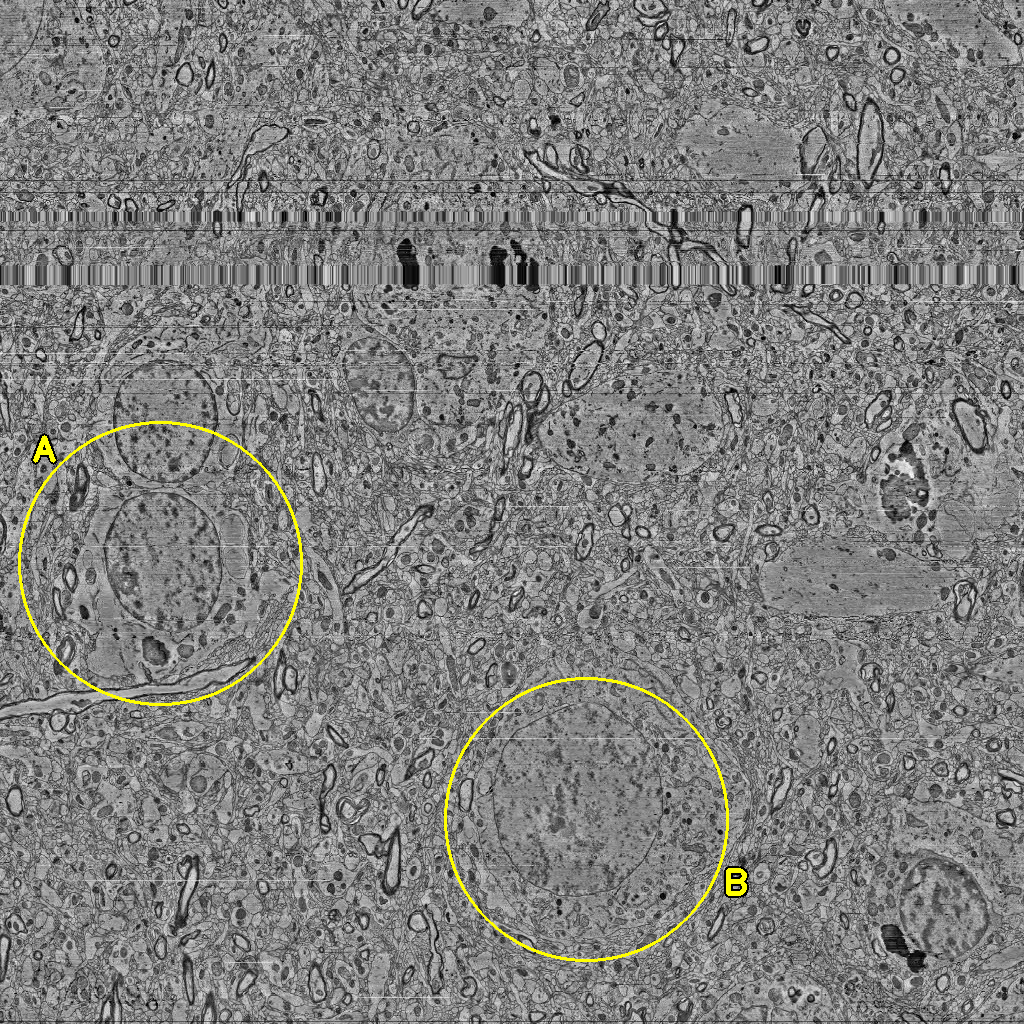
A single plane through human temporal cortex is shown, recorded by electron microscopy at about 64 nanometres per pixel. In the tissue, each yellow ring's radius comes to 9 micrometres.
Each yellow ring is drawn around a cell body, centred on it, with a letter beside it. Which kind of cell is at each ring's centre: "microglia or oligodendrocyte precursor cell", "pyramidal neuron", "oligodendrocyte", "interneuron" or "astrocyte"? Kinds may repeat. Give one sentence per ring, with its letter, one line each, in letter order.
Ring A is centred on an astrocyte.
Ring B is centred on a pyramidal neuron.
